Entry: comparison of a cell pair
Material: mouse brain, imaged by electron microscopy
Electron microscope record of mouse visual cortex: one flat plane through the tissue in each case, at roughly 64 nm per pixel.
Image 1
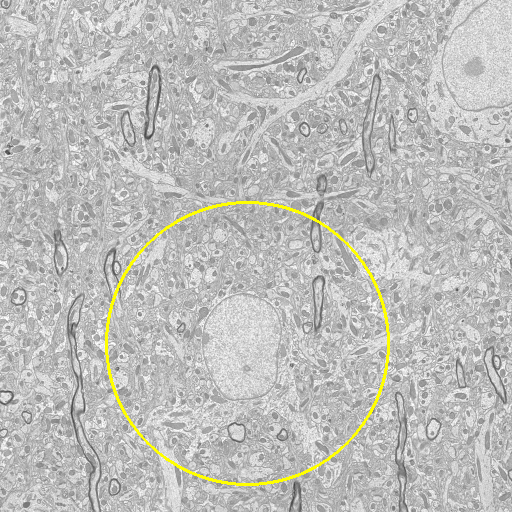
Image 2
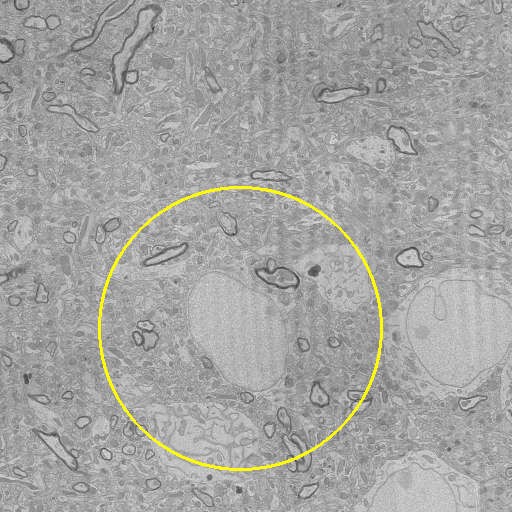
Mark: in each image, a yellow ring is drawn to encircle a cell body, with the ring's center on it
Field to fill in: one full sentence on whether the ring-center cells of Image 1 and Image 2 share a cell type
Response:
Yes, Image 1 and Image 2 each show a ring-center cell of one shared type.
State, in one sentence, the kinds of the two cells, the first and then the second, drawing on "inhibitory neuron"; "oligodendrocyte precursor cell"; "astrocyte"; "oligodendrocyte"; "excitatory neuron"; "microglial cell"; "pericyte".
In the first picture and in the second, the ring is centred on an astrocyte.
